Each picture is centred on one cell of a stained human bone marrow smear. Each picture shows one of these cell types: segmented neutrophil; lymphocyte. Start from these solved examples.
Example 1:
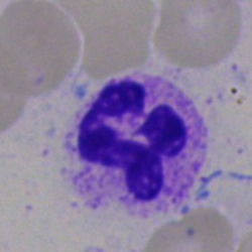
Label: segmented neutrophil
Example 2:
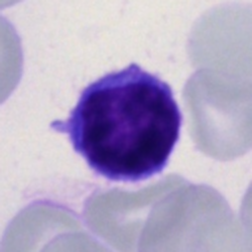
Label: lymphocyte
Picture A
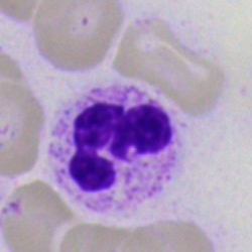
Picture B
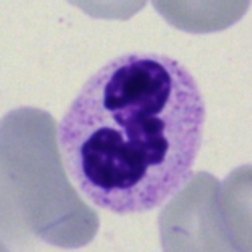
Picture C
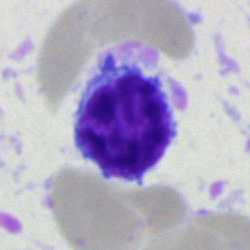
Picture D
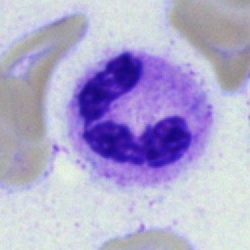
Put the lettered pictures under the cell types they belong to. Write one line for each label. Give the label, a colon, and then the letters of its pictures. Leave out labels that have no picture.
segmented neutrophil: A, B, D
lymphocyte: C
